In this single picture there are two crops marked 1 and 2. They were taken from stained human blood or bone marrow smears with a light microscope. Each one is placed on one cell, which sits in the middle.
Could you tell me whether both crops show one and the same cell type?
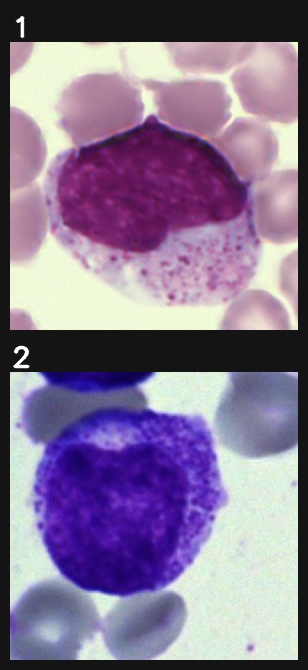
yes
